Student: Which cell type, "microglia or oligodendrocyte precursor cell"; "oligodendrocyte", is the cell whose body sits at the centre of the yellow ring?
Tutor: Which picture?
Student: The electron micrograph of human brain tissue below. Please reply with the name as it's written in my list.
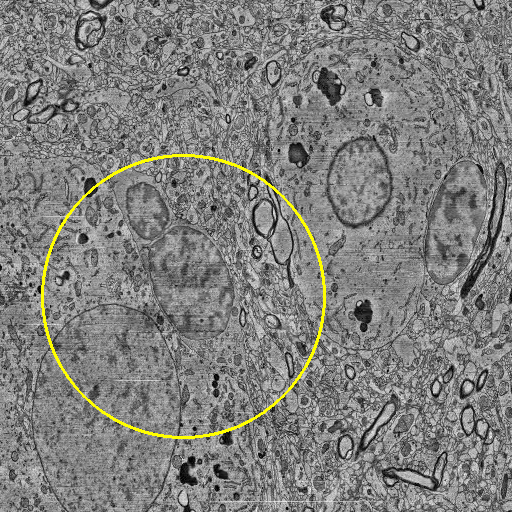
oligodendrocyte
